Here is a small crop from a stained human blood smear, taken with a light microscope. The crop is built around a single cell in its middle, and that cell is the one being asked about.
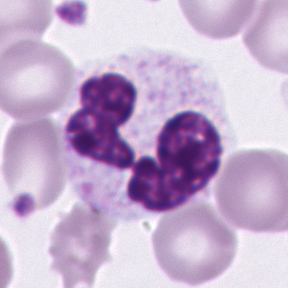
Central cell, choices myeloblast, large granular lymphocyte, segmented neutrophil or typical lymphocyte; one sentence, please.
The cell at the heart of this crop is a segmented neutrophil.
